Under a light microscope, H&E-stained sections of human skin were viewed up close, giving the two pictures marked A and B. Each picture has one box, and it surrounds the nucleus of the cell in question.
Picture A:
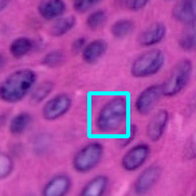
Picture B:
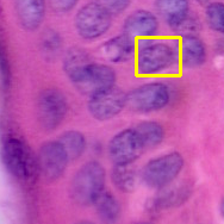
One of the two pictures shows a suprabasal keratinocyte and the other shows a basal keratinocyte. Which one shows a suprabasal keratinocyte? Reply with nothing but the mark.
A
